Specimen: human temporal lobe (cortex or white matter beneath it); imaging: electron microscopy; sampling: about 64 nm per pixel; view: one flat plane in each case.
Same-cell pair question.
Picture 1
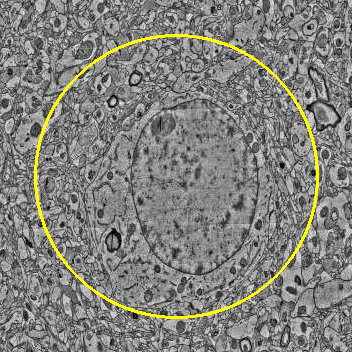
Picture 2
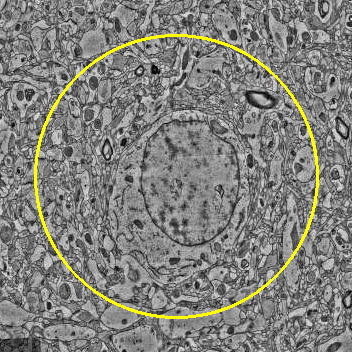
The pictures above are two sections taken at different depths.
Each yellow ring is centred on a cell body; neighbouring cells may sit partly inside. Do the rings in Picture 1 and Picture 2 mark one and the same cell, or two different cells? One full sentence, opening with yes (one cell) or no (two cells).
Yes, the same individual cell is enclosed by both rings.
